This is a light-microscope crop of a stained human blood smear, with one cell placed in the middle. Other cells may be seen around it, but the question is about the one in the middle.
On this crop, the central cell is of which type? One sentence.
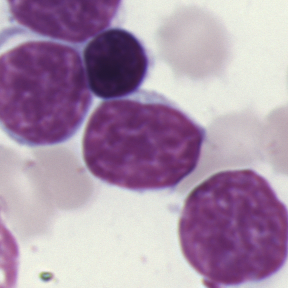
The centrally positioned cell in the crop represents a myeloblast.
